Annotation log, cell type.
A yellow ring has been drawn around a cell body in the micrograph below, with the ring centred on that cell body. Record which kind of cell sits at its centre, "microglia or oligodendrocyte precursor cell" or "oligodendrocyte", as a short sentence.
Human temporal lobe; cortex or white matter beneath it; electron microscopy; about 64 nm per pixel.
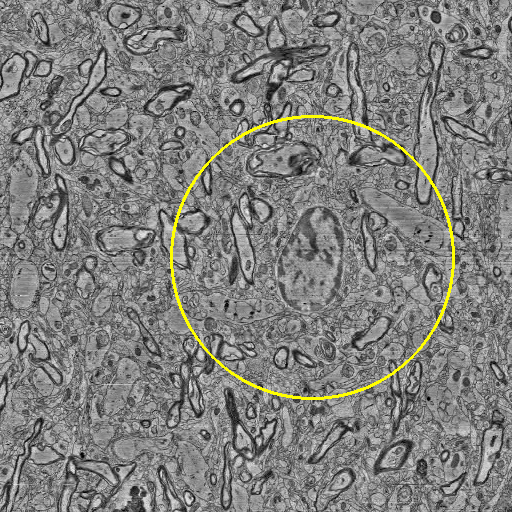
The cell at the centre of this ring is a microglial cell or oligodendrocyte precursor cell.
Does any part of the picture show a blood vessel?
No, no blood vessel can be seen.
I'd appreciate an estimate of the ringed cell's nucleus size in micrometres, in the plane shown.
In this plane, approximately 7 by 4 micrometers, and clearly longer than it is wide.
